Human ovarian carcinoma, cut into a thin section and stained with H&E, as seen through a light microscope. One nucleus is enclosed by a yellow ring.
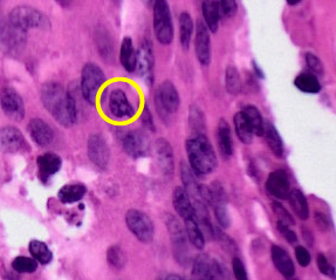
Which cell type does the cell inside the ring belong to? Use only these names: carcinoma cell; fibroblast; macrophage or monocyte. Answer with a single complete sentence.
The cell inside the ring is a macrophage or monocyte.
